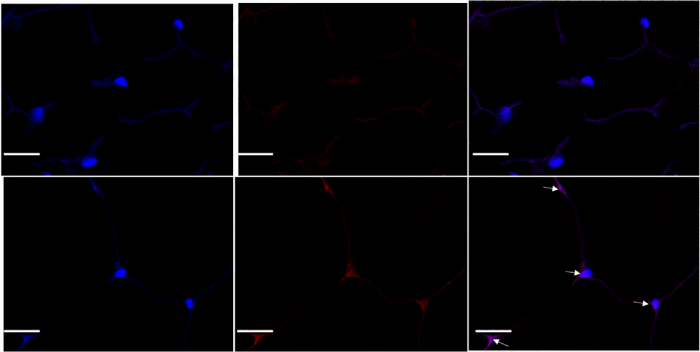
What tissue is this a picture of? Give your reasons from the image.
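Large polygonal empty spaces bounded by very thin rims. On this evidence: adipose tissue.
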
